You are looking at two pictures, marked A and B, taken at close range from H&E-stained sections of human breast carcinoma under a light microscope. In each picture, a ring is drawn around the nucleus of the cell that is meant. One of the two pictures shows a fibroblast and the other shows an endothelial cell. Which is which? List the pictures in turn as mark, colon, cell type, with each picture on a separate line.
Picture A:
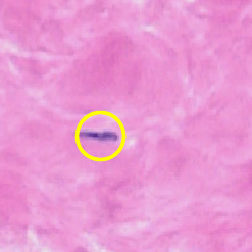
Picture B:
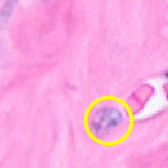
A: fibroblast
B: endothelial cell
